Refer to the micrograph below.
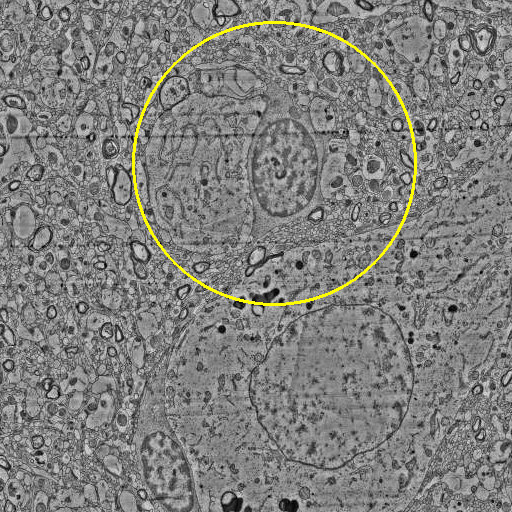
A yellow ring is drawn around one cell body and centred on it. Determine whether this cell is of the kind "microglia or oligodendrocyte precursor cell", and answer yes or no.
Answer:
no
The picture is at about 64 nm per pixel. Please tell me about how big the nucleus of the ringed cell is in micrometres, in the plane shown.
In this plane, about 6 micrometres in length and 4 in width.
